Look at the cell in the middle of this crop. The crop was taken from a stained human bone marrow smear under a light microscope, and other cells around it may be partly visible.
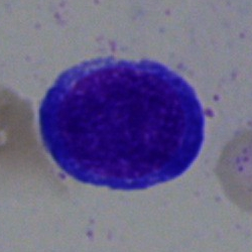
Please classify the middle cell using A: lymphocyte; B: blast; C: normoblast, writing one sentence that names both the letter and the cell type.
In the middle of the crop is a normoblast; option C is therefore correct.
